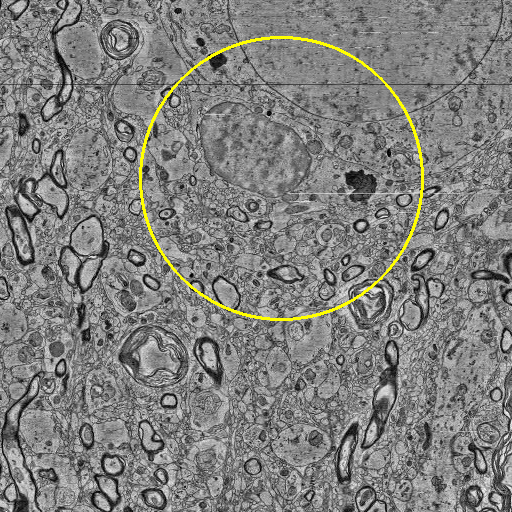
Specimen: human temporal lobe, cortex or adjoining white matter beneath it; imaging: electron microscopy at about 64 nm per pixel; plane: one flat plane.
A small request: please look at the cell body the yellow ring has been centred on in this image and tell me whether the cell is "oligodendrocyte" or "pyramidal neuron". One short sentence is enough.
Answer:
The cell marked by the ring is an oligodendrocyte.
